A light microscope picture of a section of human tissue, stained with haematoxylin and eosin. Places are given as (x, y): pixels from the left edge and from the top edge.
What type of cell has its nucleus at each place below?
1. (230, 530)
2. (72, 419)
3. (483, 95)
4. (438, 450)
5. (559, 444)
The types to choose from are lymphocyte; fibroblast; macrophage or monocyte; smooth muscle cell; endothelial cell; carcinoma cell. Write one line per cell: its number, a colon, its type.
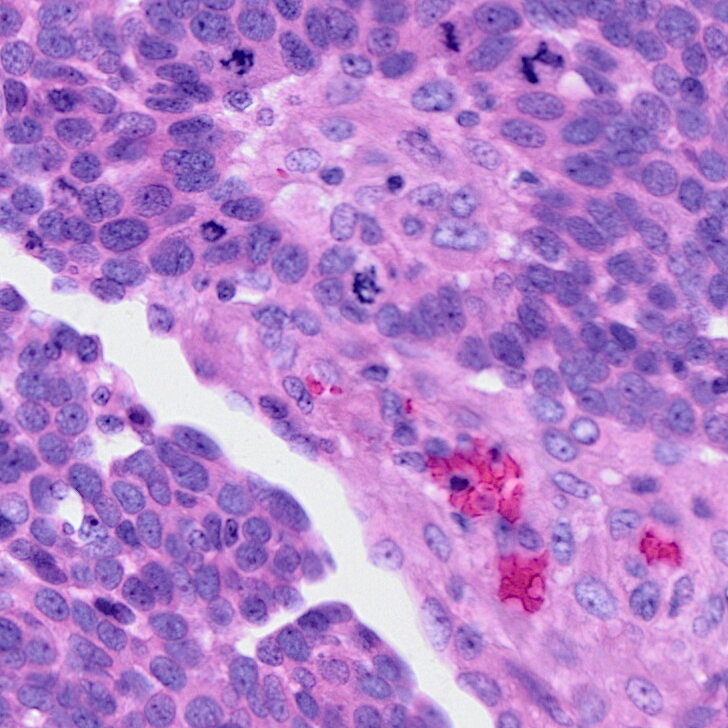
1: macrophage or monocyte
2: carcinoma cell
3: macrophage or monocyte
4: endothelial cell
5: fibroblast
